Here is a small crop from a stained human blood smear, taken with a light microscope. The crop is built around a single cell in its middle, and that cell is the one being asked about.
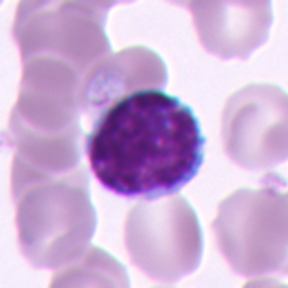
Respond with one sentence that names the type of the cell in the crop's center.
The cell positioned in the middle of the field is a typical lymphocyte.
